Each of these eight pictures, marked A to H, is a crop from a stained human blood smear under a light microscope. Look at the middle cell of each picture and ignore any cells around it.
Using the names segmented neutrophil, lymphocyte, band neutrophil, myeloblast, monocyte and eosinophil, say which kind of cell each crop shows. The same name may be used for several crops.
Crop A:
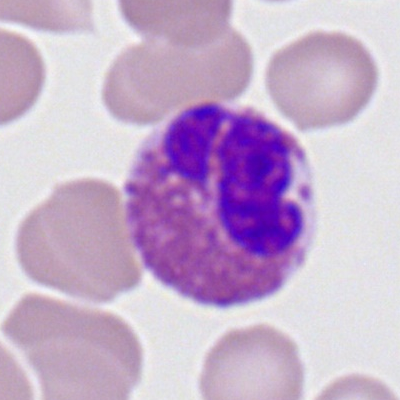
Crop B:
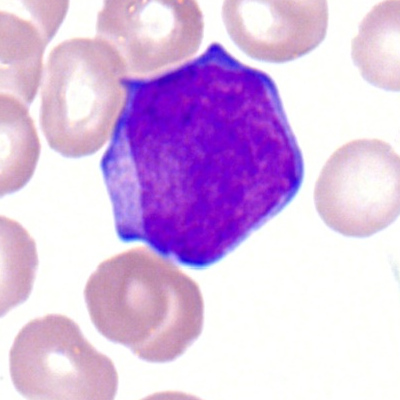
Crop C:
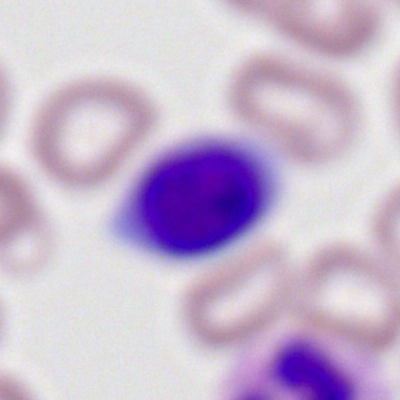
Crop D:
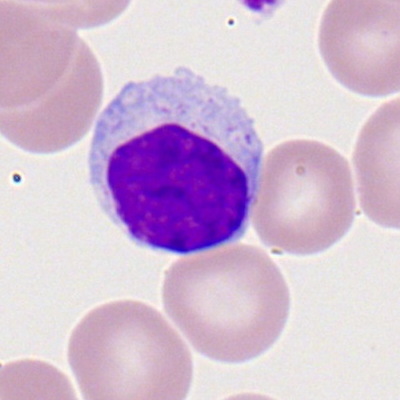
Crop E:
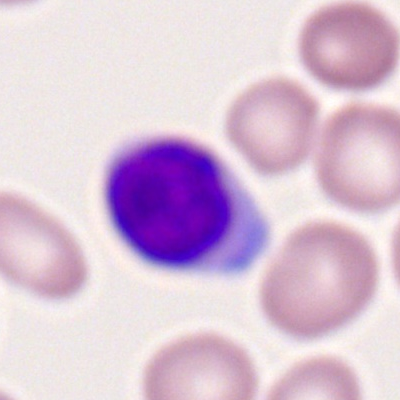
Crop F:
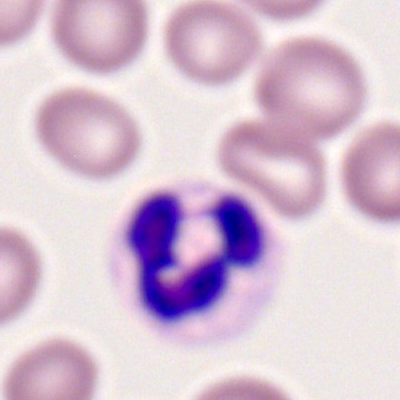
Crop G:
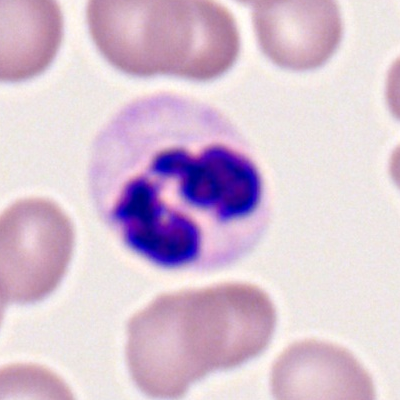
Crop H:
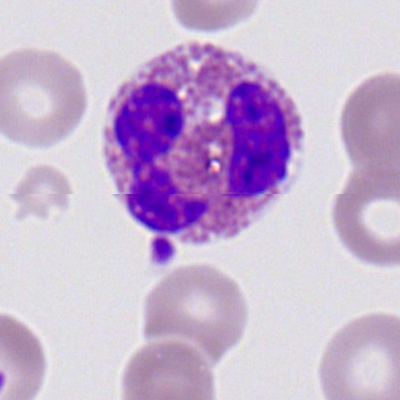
A: eosinophil
B: myeloblast
C: lymphocyte
D: lymphocyte
E: lymphocyte
F: segmented neutrophil
G: segmented neutrophil
H: eosinophil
